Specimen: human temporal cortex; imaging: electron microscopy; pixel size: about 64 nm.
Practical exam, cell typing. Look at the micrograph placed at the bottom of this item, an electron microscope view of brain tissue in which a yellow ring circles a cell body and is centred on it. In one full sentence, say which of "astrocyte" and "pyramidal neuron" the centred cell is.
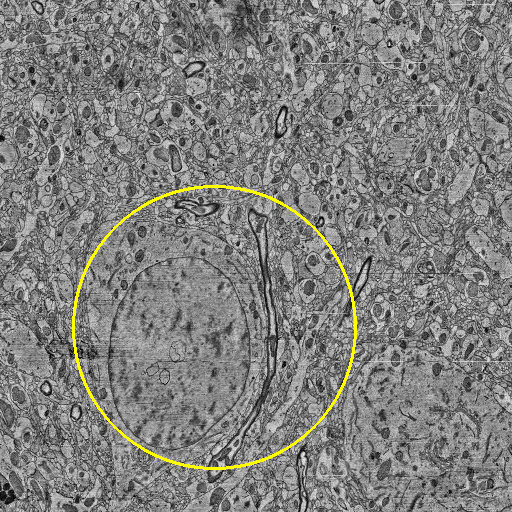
Given the options, a pyramidal neuron fits the cell whose body the yellow ring is centred on.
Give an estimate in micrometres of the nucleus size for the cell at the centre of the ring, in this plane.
In this plane, the nucleus of the cell at the centre of the ring measures about 13 by 9 micrometres.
